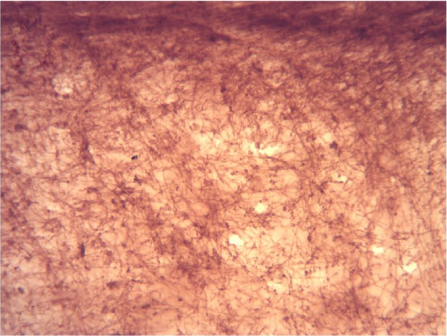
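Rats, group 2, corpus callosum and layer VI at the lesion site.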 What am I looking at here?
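The brown fibres are thin, loosely spread and run in many directions without forming compact bundles. Numerous pale, unstained spaces of varying size lie scattered through the parenchyma, giving the neuropil a lax, open appearance.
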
